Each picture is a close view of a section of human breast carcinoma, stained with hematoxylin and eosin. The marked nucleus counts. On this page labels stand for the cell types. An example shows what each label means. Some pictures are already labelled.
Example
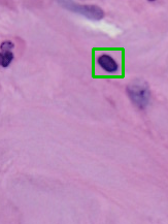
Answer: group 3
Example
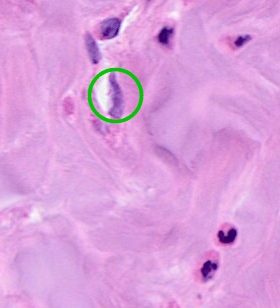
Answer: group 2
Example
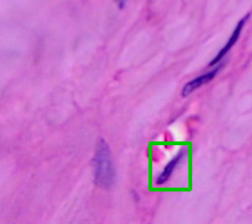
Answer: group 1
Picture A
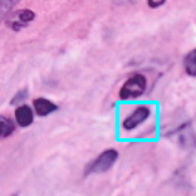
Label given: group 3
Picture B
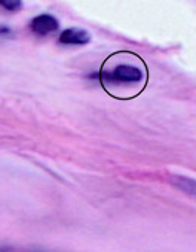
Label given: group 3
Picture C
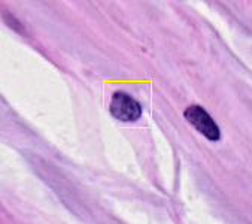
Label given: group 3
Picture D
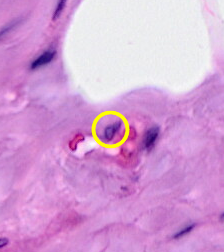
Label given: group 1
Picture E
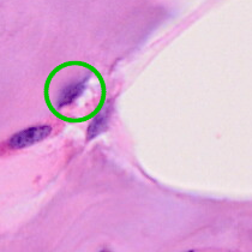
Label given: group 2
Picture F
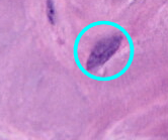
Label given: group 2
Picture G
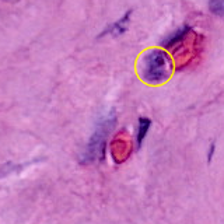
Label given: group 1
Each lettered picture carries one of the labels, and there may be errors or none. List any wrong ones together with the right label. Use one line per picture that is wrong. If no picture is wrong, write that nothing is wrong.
Nothing to fix; every label fits.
